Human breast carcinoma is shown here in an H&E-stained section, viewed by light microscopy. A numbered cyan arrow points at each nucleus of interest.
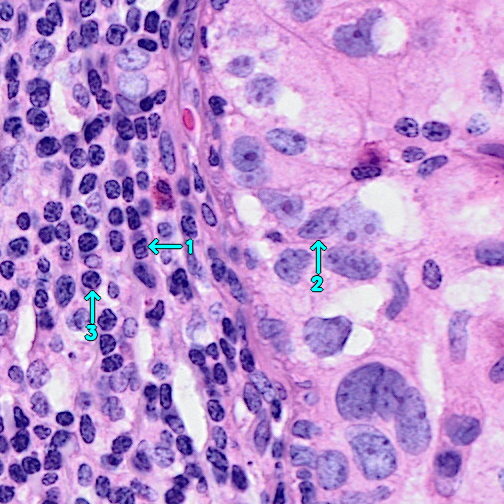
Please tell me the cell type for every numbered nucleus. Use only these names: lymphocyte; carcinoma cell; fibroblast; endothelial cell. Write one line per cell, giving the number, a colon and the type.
1: lymphocyte
2: carcinoma cell
3: lymphocyte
